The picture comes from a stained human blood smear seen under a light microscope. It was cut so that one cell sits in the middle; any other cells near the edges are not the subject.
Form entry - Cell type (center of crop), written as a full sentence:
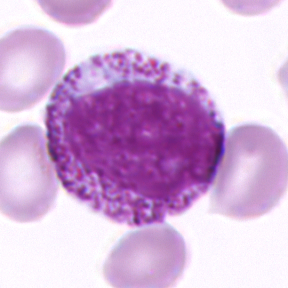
The cell under consideration, at the middle of the crop, is a myelocyte.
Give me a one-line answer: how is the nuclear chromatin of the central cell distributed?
The chromatin is fine, with no coarse clumping anywhere.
